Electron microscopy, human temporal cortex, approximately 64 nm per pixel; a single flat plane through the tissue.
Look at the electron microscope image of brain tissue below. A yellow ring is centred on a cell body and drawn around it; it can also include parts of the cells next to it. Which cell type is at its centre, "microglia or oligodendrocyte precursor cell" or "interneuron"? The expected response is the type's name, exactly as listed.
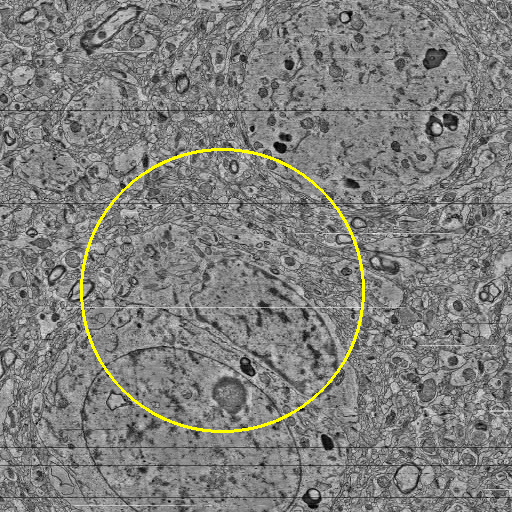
microglia or oligodendrocyte precursor cell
